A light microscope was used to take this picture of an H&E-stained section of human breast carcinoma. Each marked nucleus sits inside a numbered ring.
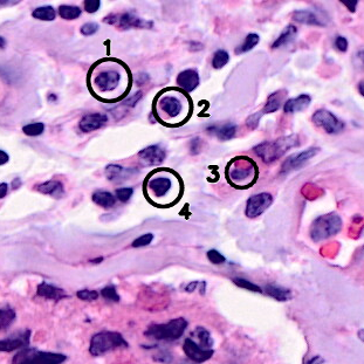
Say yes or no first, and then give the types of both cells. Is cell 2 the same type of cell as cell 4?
Yes, the pair formed by cells 2 and 4 consists of two lymphocytes.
